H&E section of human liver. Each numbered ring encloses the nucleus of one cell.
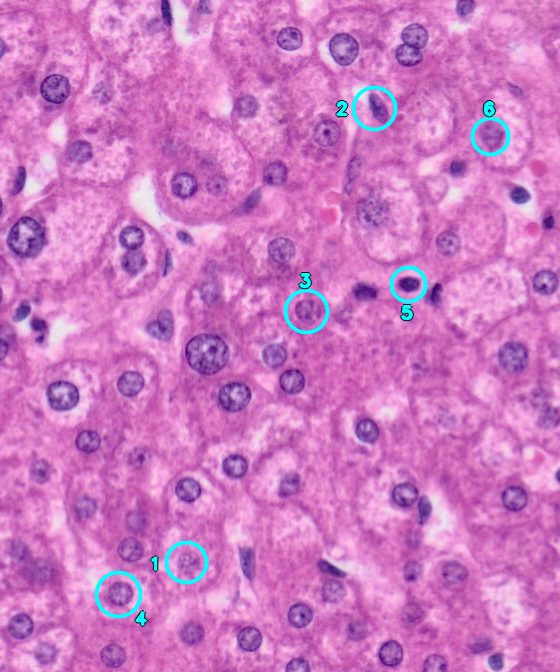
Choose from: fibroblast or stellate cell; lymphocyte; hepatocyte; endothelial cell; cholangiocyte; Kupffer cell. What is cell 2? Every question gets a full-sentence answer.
As for number 2, that cell is an endothelial cell.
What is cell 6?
The cell to which the number 6 is assigned is a hepatocyte.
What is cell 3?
The nucleus marked 3 is the nucleus of a hepatocyte.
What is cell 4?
Belonging to a hepatocyte is the nucleus that carries the number 4.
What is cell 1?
The cell marked with the number 1 is a hepatocyte.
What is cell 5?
The cell that is numbered 5 is a lymphocyte.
